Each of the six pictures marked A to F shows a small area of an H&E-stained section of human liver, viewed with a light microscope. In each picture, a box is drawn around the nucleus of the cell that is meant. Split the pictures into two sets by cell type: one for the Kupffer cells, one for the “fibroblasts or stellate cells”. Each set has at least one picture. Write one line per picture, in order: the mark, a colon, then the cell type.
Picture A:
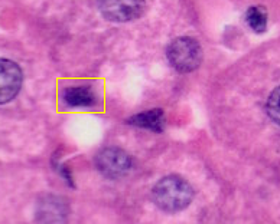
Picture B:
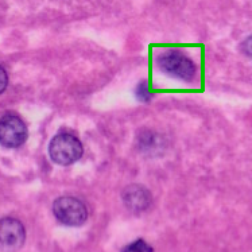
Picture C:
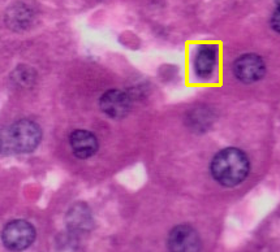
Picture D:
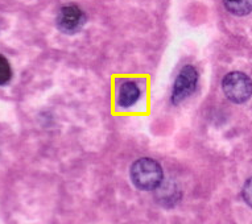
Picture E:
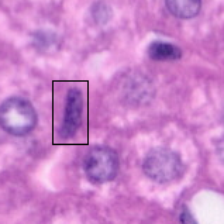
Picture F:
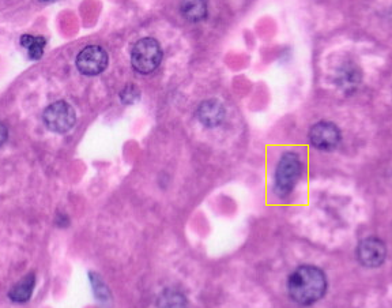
A: fibroblast or stellate cell
B: Kupffer cell
C: Kupffer cell
D: fibroblast or stellate cell
E: fibroblast or stellate cell
F: fibroblast or stellate cell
